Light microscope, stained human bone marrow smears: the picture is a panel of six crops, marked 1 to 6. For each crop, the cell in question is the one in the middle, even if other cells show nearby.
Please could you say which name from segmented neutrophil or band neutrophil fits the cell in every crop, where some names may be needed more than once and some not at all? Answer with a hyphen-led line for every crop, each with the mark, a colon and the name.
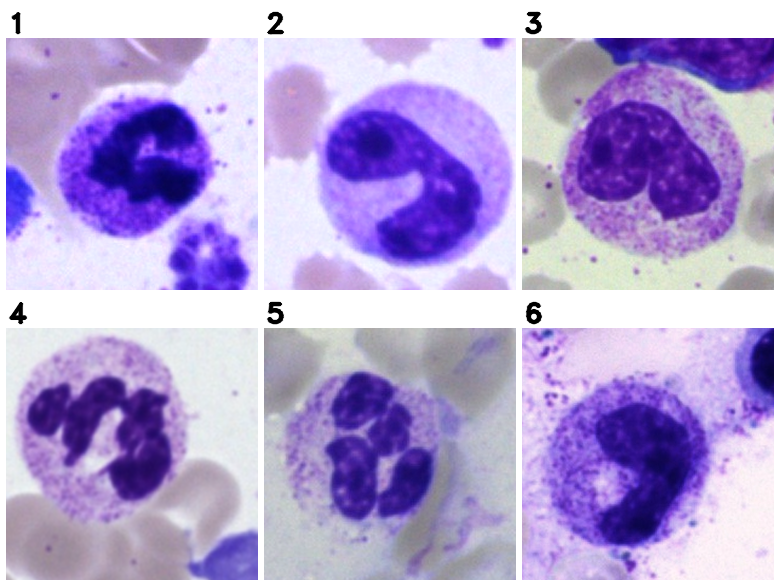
- 1: segmented neutrophil
- 2: band neutrophil
- 3: band neutrophil
- 4: segmented neutrophil
- 5: segmented neutrophil
- 6: band neutrophil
